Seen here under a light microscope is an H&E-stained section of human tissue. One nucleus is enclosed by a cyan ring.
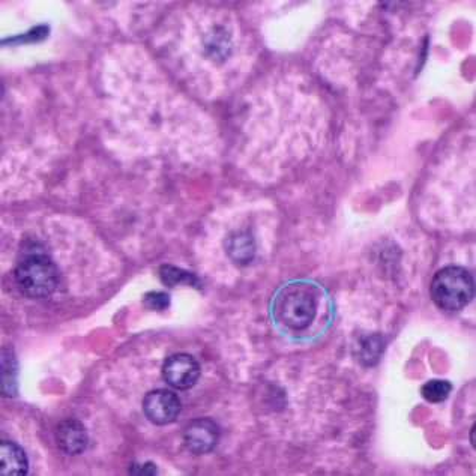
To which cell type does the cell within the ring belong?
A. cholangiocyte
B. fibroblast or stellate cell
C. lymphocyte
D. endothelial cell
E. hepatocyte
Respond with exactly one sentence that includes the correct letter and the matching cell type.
In this case the cell within the ring is a hepatocyte, so option E is correct.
